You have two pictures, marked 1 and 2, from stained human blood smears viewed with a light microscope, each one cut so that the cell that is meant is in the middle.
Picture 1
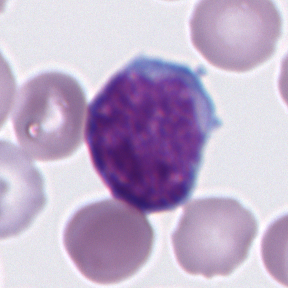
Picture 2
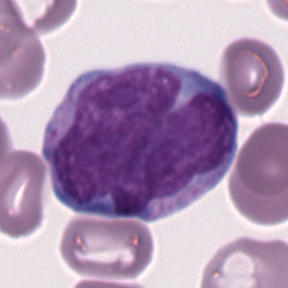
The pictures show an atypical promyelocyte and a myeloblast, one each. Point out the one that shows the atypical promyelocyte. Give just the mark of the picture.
2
